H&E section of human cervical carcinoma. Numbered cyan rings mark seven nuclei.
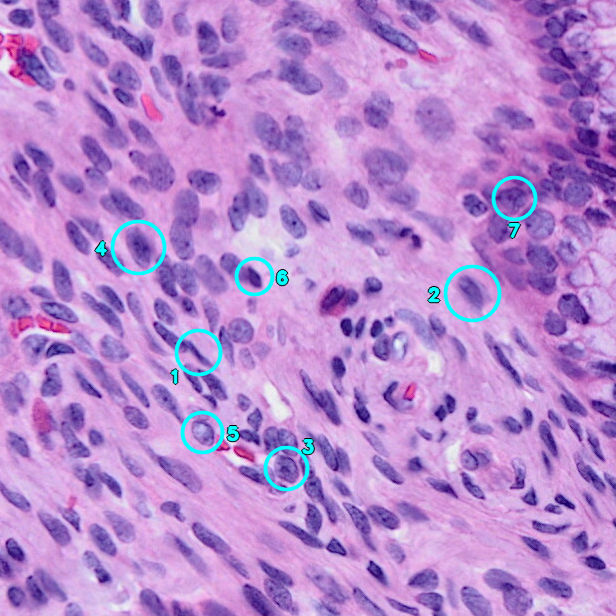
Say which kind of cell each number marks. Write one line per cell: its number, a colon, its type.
1: fibroblast
2: fibroblast
3: endothelial cell
4: fibroblast
5: endothelial cell
6: lymphocyte
7: secretory epithelial cell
